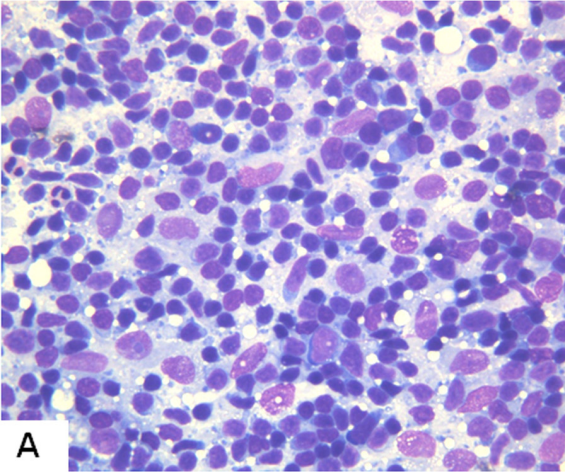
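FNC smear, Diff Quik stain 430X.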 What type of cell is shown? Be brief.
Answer: small lymphocytes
